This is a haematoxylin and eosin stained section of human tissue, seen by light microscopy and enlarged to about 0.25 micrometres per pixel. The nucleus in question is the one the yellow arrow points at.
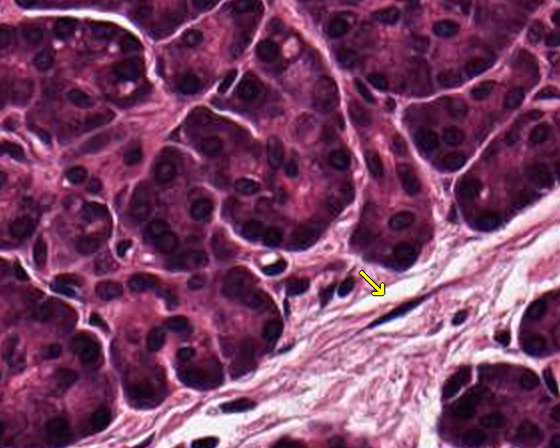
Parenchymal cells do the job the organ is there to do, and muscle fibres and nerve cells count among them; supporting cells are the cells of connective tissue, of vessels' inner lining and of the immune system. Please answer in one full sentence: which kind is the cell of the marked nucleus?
It is a supporting cell to which the marked nucleus belongs.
